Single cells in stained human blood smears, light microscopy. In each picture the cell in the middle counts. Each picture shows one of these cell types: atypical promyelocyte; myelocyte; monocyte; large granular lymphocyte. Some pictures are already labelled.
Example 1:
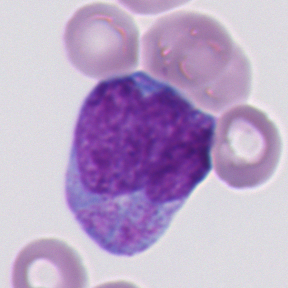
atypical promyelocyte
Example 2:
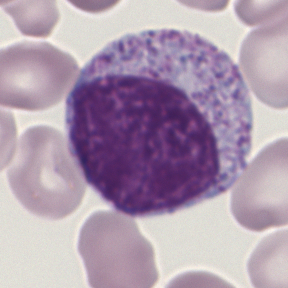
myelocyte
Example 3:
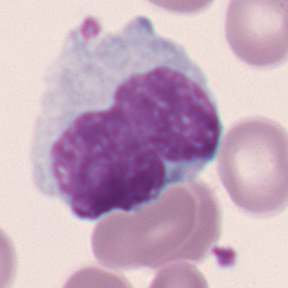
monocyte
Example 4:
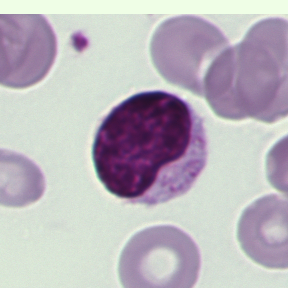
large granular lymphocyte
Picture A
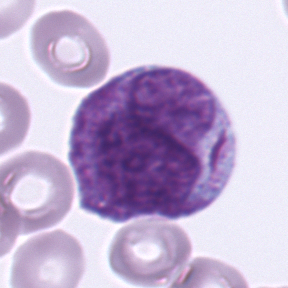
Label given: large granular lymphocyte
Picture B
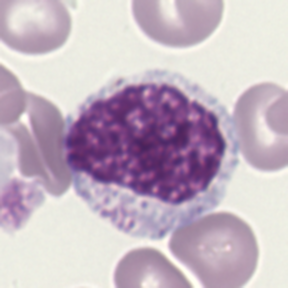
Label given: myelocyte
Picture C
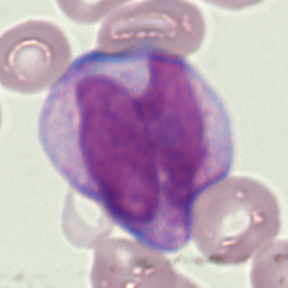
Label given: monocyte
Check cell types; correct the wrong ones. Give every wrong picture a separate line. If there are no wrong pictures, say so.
A should be atypical promyelocyte, not large granular lymphocyte
C should be atypical promyelocyte, not monocyte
